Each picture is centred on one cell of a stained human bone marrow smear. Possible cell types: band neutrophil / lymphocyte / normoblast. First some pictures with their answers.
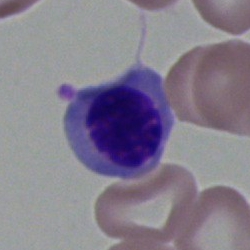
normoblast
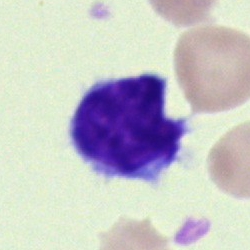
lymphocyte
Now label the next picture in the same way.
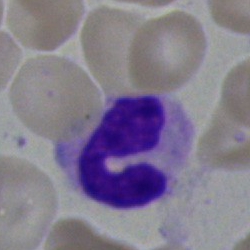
band neutrophil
